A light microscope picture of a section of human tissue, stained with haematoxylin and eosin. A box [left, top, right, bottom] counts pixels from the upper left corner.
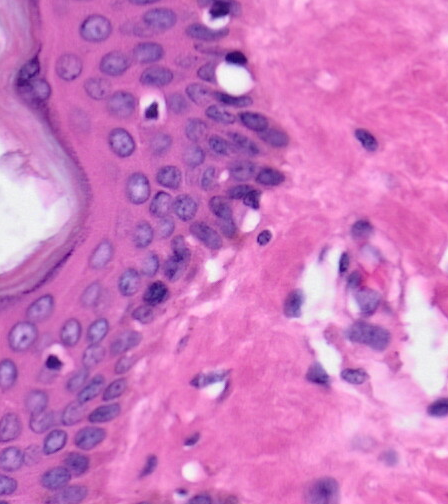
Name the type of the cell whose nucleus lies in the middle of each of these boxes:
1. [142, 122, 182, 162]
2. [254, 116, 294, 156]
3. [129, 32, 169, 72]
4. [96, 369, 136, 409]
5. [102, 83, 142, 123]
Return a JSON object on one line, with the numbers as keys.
{"1": "suprabasal keratinocyte", "2": "basal keratinocyte", "3": "suprabasal keratinocyte", "4": "basal keratinocyte", "5": "suprabasal keratinocyte"}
